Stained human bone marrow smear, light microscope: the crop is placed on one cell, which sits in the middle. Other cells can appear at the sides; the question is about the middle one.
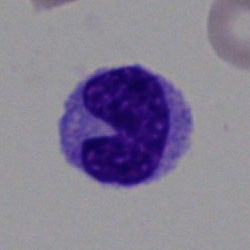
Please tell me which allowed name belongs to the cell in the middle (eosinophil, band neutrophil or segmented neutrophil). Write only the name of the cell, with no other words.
band neutrophil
